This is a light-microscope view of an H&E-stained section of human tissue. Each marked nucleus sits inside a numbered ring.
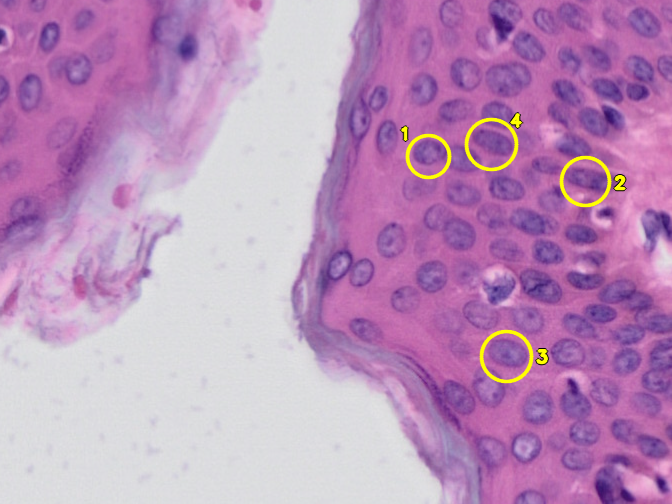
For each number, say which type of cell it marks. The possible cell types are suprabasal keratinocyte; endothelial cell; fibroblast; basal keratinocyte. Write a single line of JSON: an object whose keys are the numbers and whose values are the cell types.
{"1": "suprabasal keratinocyte", "2": "basal keratinocyte", "3": "suprabasal keratinocyte", "4": "suprabasal keratinocyte"}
